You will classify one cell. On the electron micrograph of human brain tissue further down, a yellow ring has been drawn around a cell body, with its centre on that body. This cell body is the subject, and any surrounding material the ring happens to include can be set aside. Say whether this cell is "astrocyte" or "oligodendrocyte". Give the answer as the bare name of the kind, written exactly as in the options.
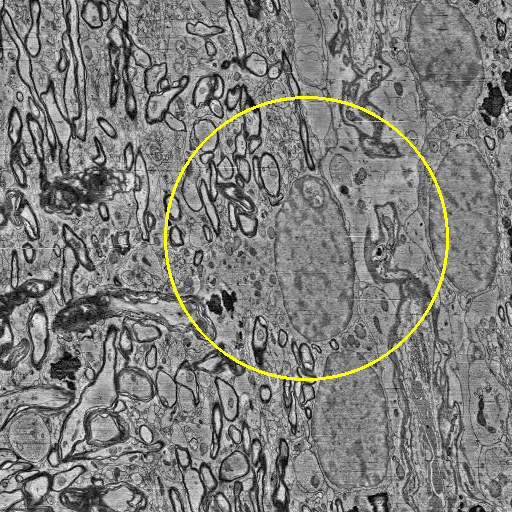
oligodendrocyte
